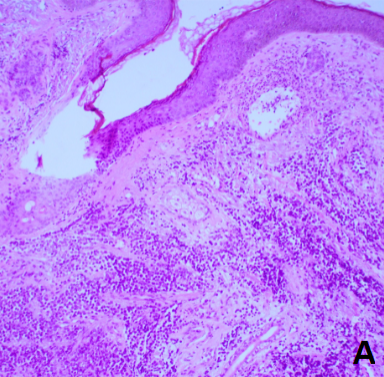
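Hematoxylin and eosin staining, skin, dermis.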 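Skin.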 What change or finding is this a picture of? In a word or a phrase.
Diffusely infiltrative tumor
